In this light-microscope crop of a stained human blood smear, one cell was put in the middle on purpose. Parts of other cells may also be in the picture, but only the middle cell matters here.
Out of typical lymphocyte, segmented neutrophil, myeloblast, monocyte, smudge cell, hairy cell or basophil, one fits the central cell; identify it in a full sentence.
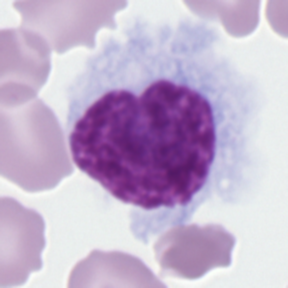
The centrally placed cell is classified as a hairy cell.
